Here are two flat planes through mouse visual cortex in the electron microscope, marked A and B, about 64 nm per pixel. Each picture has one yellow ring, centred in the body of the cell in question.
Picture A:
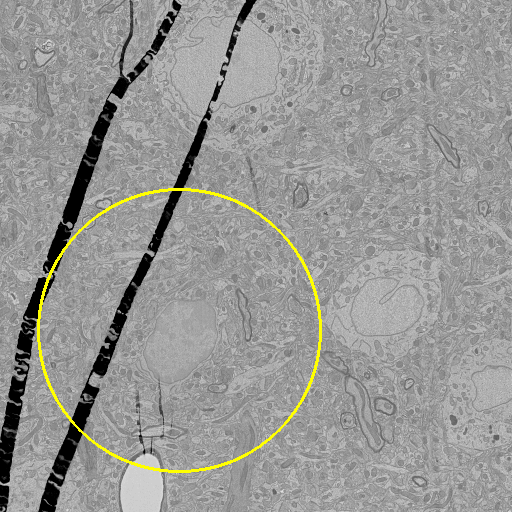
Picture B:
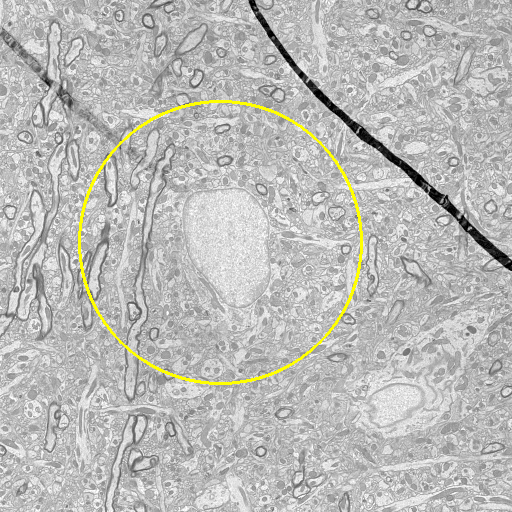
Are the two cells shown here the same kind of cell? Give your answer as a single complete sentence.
No, the types are not the same, since picture A shows a microglial cell and picture B an astrocyte.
